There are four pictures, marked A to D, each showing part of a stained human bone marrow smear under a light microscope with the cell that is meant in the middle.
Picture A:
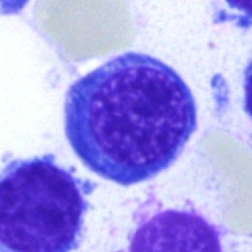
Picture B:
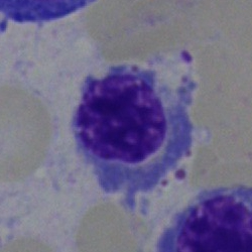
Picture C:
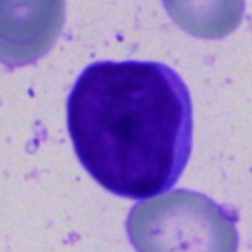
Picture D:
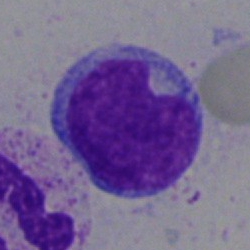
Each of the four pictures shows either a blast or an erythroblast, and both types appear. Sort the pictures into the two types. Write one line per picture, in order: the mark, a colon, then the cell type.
A: erythroblast
B: erythroblast
C: blast
D: blast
